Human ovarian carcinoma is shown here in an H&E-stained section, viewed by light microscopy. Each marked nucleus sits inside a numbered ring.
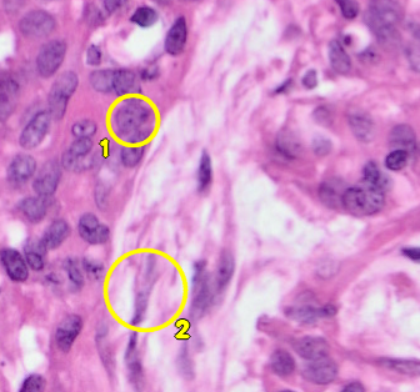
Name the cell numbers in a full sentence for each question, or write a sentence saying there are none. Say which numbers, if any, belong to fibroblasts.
Of the cells marked with numbers, cell 2 is the only one that is a fibroblast.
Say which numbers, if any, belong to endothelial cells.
The numbered cells and the endothelial cells have no member in common.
